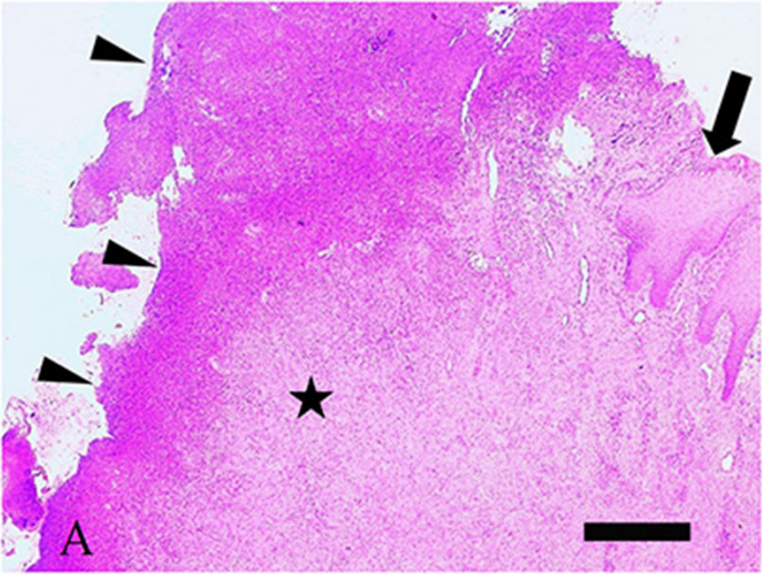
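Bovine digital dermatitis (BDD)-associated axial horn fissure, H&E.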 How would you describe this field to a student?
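Low-magnification view of dermis, in which a broad pale pink region of dense fibrous tissue fills the centre. The left surface lacks an epithelial cover and is lined by a dense purple layer with detaching fragments, while at the upper right a compact pink band of epidermis with downward projections remains.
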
